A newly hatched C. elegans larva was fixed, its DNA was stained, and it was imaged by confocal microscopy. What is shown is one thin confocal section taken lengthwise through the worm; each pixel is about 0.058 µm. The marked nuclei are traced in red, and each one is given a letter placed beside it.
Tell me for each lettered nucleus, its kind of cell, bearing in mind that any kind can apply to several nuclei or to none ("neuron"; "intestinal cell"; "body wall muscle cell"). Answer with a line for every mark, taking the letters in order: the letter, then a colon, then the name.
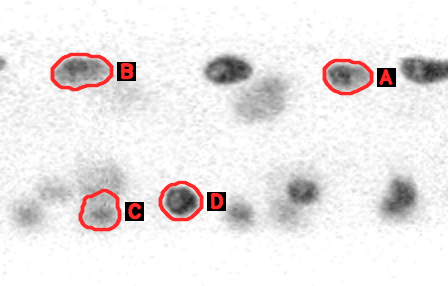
A: body wall muscle cell
B: body wall muscle cell
C: neuron
D: body wall muscle cell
